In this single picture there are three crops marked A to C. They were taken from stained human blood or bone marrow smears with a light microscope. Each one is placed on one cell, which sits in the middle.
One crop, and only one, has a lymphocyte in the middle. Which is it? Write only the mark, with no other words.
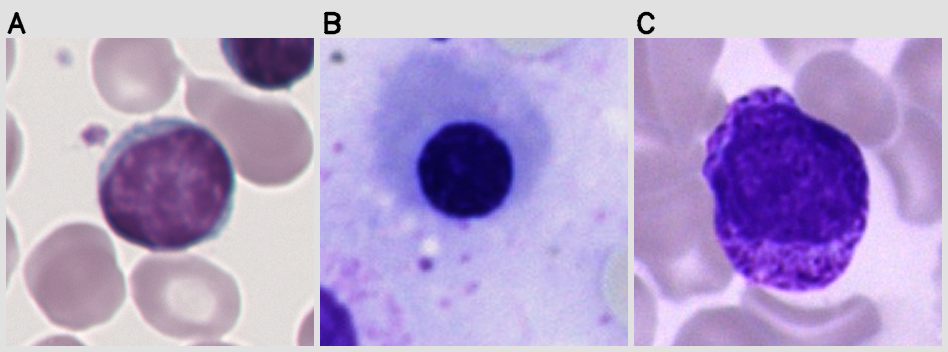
A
